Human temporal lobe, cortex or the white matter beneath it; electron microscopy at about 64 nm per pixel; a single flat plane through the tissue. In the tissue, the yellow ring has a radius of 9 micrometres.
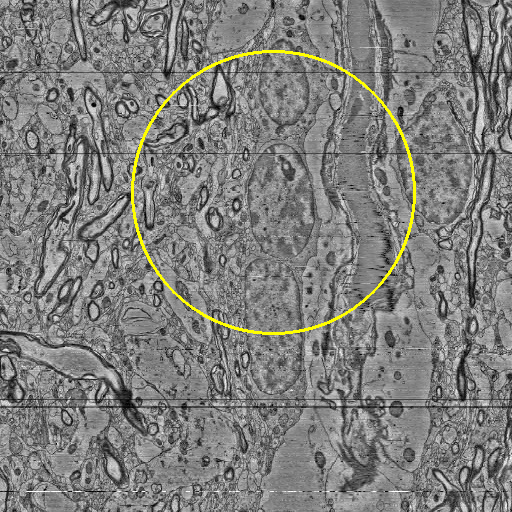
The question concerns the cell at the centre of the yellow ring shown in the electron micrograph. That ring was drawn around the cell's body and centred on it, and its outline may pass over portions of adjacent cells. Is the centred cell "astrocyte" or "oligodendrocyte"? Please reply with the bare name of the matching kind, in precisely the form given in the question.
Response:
oligodendrocyte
